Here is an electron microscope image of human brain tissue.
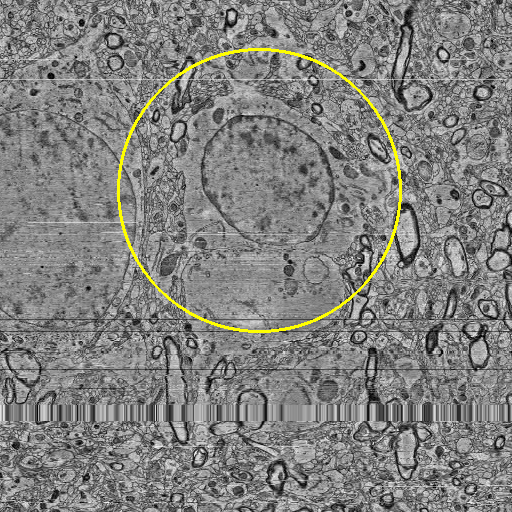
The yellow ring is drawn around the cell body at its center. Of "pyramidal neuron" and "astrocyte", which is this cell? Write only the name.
astrocyte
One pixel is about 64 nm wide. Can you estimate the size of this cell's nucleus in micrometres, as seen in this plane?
The nucleus comes to roughly 9 by 8 micrometres in this plane.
